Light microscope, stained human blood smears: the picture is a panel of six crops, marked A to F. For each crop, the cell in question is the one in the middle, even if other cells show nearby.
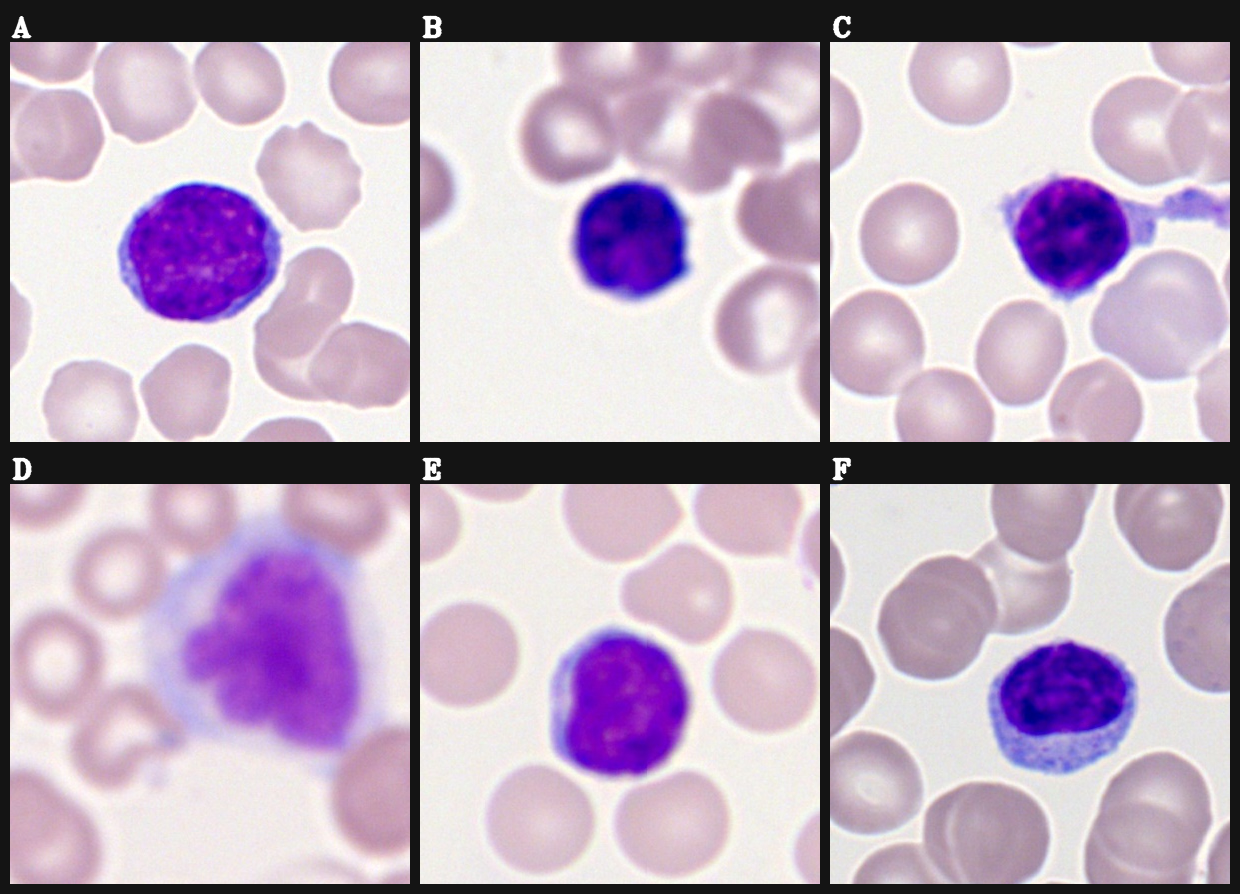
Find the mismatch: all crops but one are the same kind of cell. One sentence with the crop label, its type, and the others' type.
Crop D is a monocyte, and the other crops all show lymphocytes.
